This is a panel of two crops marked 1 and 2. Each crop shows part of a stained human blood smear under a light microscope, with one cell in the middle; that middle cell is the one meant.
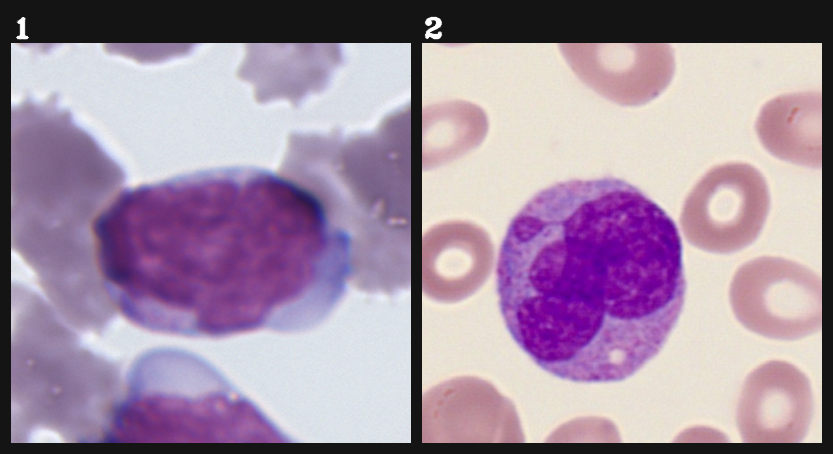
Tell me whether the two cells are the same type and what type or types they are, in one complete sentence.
No, crop 1 should be called a blast, and crop 2 should be called a monocyte.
